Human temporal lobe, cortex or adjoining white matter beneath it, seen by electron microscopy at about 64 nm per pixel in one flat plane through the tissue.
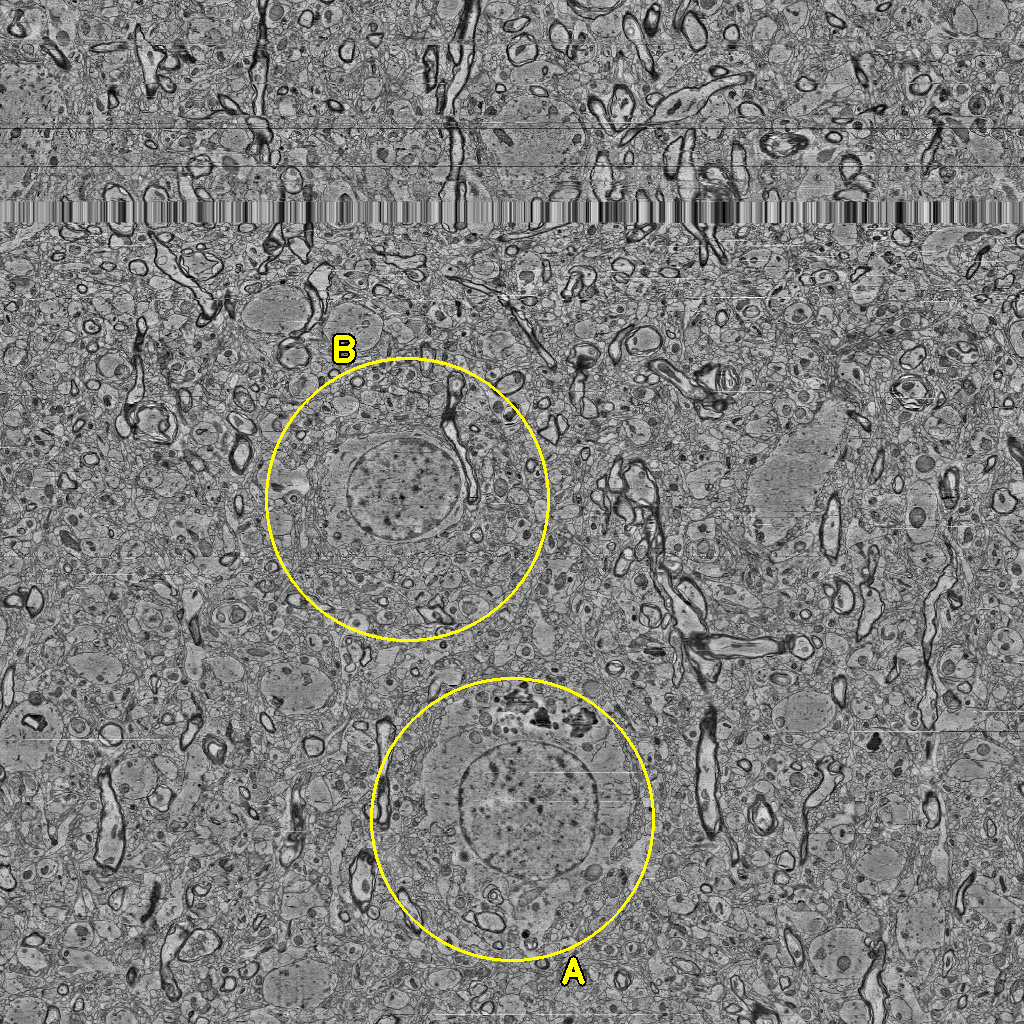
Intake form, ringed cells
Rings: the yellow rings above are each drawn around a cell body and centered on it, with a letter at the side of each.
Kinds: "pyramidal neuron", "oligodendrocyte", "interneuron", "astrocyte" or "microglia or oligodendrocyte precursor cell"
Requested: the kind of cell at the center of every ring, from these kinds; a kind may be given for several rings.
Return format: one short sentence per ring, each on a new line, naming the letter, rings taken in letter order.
In the center of ring A there is an astrocyte.
In the center of ring B there is a microglial cell or oligodendrocyte precursor cell.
